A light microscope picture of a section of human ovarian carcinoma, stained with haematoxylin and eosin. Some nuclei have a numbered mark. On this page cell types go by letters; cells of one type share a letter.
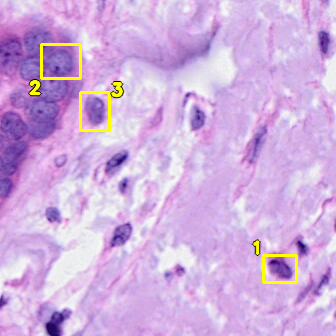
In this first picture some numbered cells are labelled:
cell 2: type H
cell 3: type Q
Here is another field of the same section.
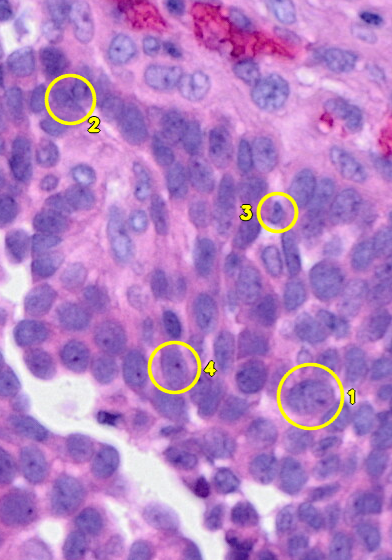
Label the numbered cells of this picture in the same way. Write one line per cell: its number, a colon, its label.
1: type H
2: type H
3: type Q
4: type H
